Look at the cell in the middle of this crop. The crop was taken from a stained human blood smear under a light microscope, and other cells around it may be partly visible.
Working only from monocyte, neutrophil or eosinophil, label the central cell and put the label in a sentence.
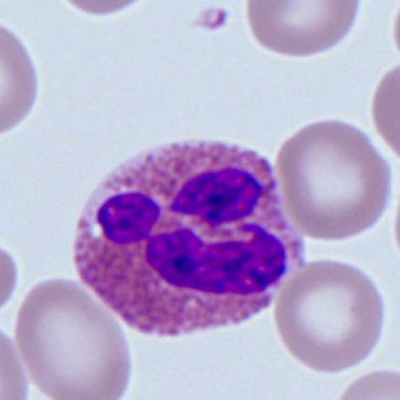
The cell sitting right in the middle is an eosinophil.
